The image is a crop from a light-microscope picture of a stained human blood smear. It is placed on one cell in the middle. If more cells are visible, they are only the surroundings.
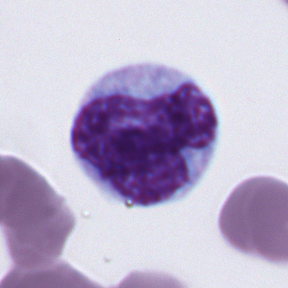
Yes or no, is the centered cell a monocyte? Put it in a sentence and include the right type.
Yes, the cell of interest in the centre is a monocyte.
